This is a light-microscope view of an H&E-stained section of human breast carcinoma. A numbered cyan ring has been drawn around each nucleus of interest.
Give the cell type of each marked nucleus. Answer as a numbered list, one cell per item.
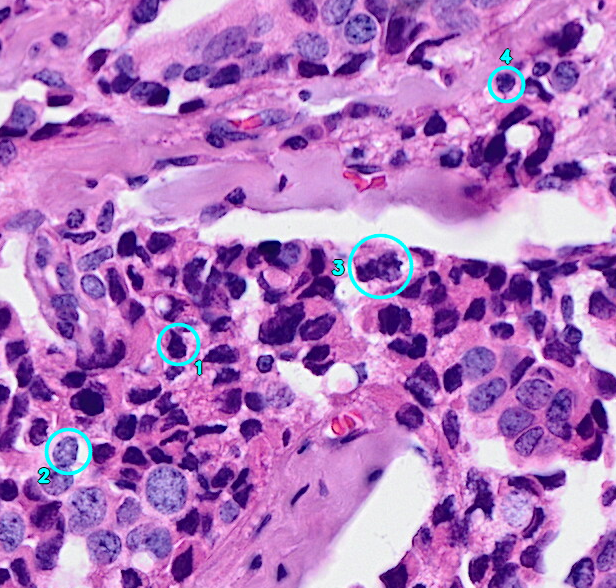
1. carcinoma cell
2. carcinoma cell
3. carcinoma cell
4. lymphocyte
